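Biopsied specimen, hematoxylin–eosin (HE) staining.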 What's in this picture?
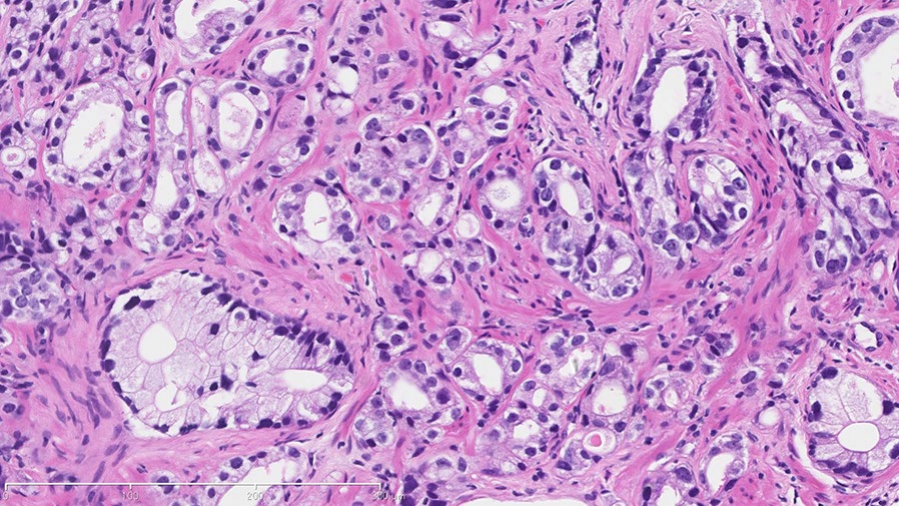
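This section shows tumor cells forming many small glands that crowd together and merge into fused clusters within a pink fibrous stroma. The gland-forming cells have round to oval purple nuclei, some with visible nucleoli, and pale to lightly pink cytoplasm. Many of the small glands have narrow or rounded empty lumina, and a few lumina contain pink material. Between the glandular clusters runs dense pink stroma with scattered elongated spindle-shaped nuclei. A larger gland at the lower left is lined by tall cells with pale cytoplasm and nuclei pushed toward the base.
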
